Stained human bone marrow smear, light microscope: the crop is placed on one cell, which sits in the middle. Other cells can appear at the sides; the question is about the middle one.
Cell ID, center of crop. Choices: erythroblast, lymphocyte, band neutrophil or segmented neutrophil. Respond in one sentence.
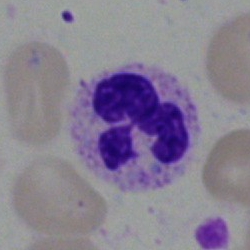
The middle of this crop holds a segmented neutrophil.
